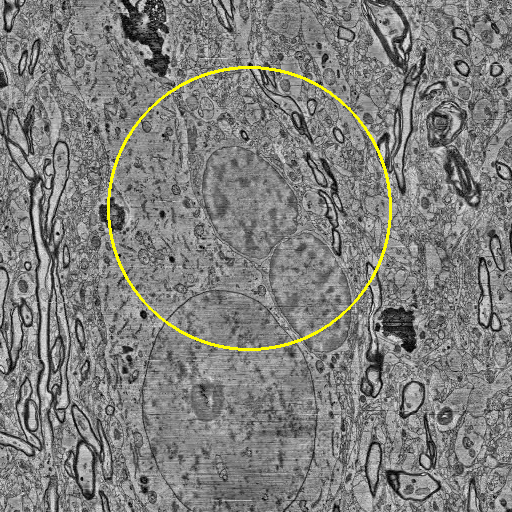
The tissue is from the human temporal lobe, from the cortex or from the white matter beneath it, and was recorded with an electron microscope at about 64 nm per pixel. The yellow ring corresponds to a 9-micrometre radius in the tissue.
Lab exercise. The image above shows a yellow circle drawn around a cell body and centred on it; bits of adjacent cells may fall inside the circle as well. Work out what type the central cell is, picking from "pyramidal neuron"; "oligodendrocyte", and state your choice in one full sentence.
In the image above, the cell at the centre of the yellow circle is an oligodendrocyte.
